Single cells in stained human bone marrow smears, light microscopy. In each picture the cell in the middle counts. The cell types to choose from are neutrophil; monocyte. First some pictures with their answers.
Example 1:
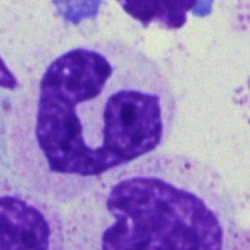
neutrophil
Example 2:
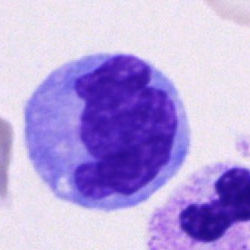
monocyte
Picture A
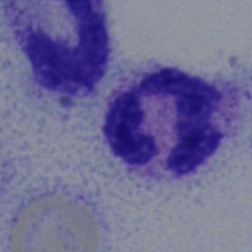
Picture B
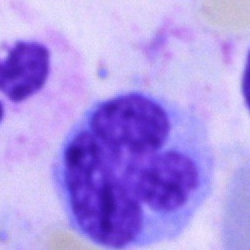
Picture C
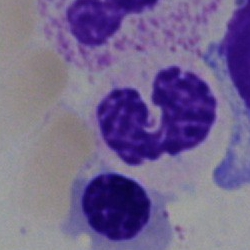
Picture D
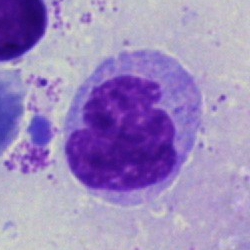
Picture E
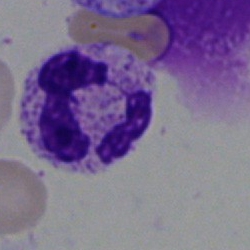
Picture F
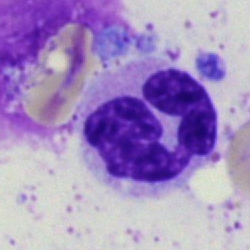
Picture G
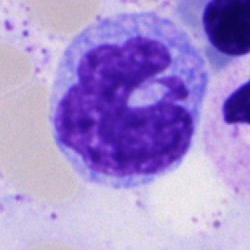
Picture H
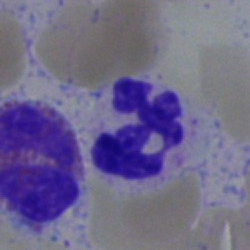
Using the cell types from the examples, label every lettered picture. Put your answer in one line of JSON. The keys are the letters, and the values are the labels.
{"A": "neutrophil", "B": "monocyte", "C": "neutrophil", "D": "monocyte", "E": "neutrophil", "F": "neutrophil", "G": "monocyte", "H": "neutrophil"}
